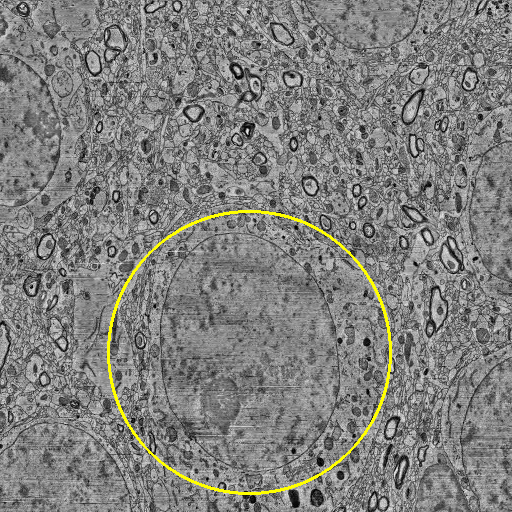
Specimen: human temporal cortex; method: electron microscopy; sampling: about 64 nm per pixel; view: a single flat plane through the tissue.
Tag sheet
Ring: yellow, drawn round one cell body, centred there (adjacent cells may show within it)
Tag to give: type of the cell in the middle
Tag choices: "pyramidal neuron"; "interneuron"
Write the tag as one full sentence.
I tag the cell centred in the yellow ring as a pyramidal neuron in this picture.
